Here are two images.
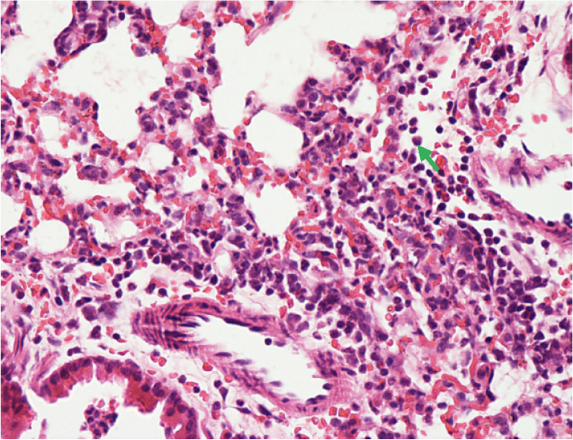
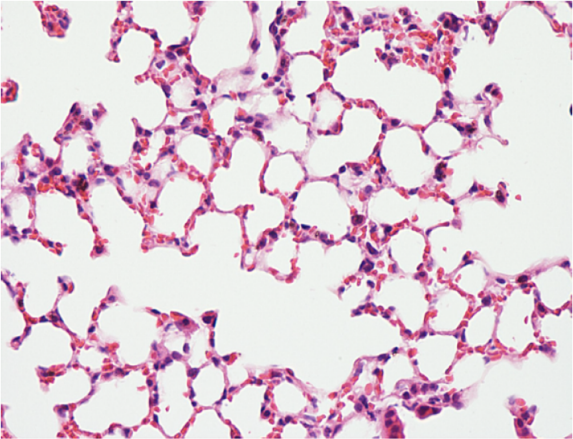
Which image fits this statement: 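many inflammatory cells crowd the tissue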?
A: The first image.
